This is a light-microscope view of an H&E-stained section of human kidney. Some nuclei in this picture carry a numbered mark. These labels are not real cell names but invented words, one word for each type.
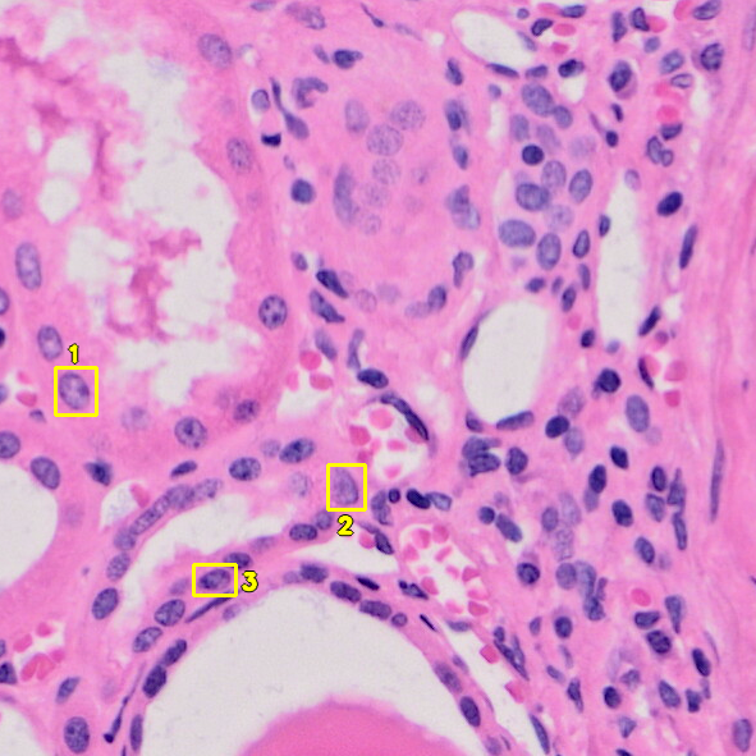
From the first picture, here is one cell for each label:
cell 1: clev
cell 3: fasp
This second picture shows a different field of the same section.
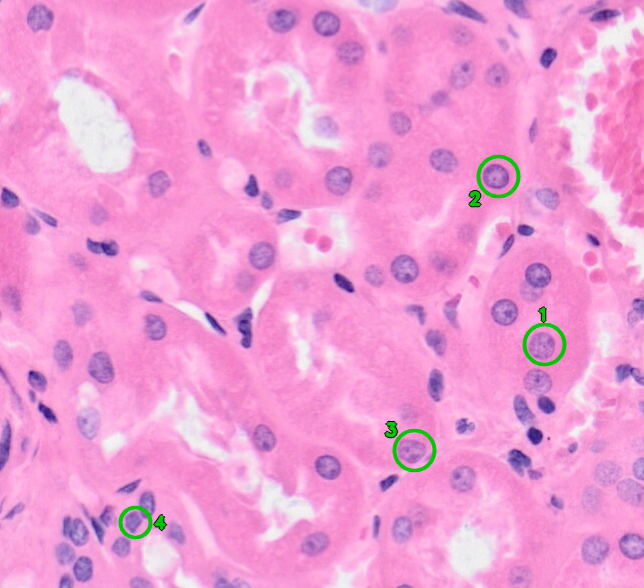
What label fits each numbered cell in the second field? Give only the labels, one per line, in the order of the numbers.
clev
clev
clev
fasp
